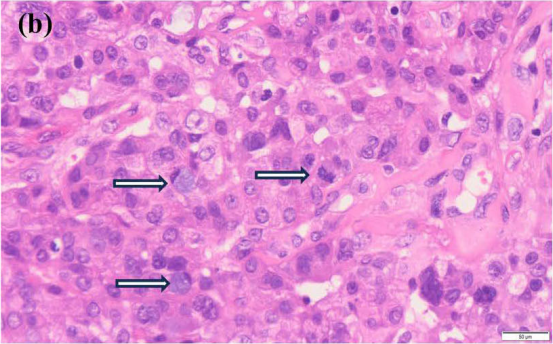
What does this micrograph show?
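Tumor cells are packed in sheets separated by thin pink fibrous strands; the cells are round, oval or slightly polygonal. Their nuclei are large and vesicular with prominent nucleoli, and some nuclei are dark and irregular. The cytoplasm is pink and granular, and in places contains clear vacuoles.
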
